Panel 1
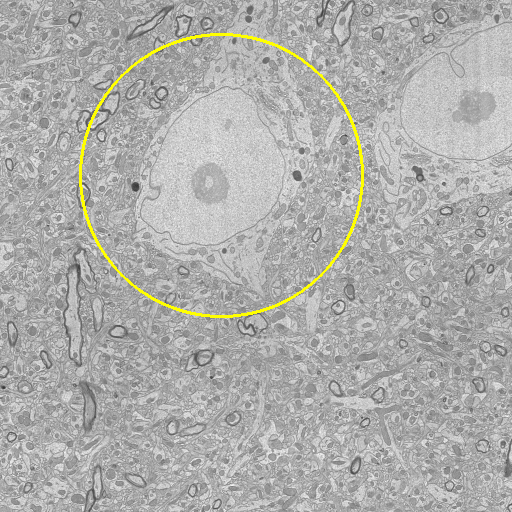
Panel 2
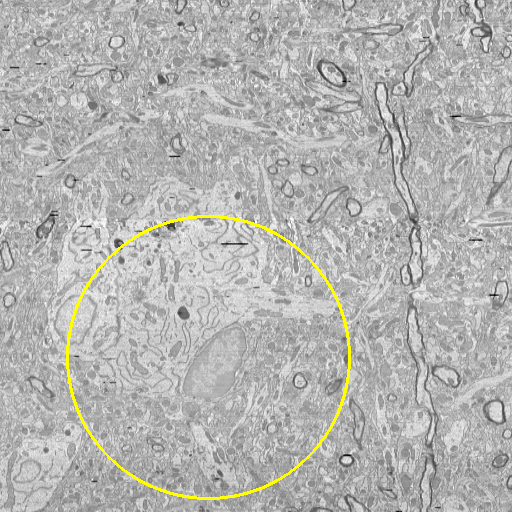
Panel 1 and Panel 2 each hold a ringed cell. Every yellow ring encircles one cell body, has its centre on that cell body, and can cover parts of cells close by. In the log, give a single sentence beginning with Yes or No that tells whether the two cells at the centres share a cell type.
No, in Panel 1 and Panel 2 the centred cells are of two cell types.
